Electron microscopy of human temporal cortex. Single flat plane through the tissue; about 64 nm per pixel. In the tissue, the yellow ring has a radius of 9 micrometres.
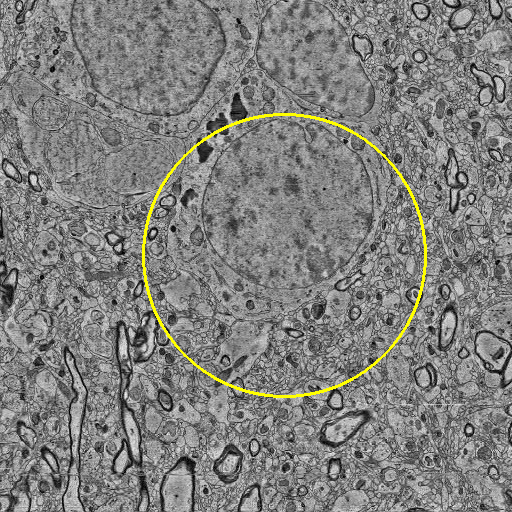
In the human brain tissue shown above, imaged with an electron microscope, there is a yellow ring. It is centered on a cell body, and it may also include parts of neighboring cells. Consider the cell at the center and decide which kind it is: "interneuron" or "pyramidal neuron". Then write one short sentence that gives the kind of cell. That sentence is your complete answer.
This centered cell body is that of an interneuron.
